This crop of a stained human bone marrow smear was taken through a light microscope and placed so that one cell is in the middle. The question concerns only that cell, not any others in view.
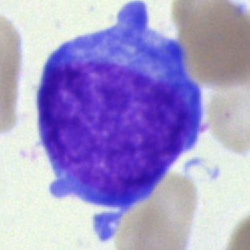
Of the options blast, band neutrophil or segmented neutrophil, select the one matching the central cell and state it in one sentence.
Looking at the middle of the crop, the cell there is a blast.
